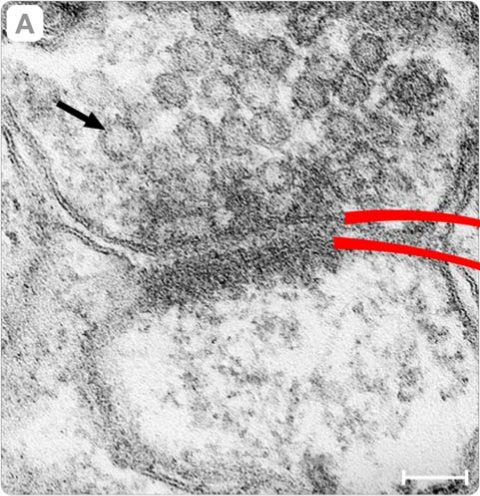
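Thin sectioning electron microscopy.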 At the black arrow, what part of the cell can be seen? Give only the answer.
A: synaptic vesicles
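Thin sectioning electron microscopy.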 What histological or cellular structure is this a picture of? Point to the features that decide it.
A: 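Two apposed membranes with a dense thickening between two profiles. Small round vesicles gathered on one side of the contact.
Hence: synapses.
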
